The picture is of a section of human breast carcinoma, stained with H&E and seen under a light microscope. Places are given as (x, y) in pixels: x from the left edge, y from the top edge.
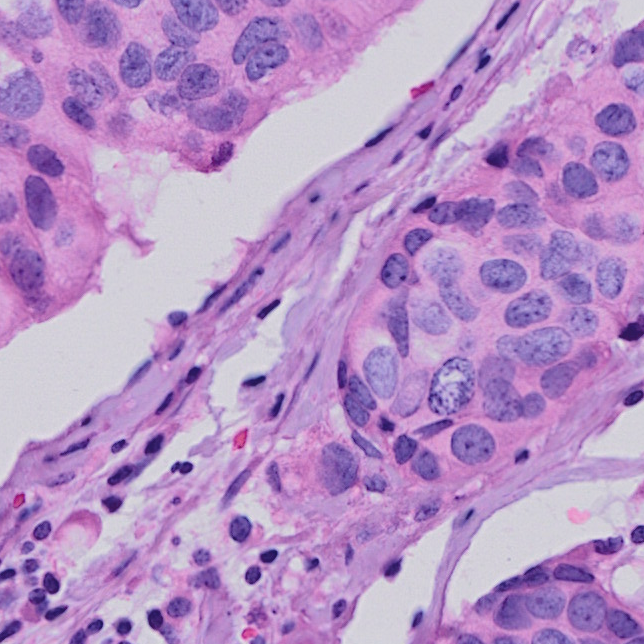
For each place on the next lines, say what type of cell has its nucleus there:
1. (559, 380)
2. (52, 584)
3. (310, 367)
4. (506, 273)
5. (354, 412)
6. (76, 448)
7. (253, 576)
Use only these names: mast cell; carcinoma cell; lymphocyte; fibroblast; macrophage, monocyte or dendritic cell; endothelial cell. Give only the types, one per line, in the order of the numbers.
carcinoma cell
lymphocyte
fibroblast
carcinoma cell
carcinoma cell
fibroblast
lymphocyte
